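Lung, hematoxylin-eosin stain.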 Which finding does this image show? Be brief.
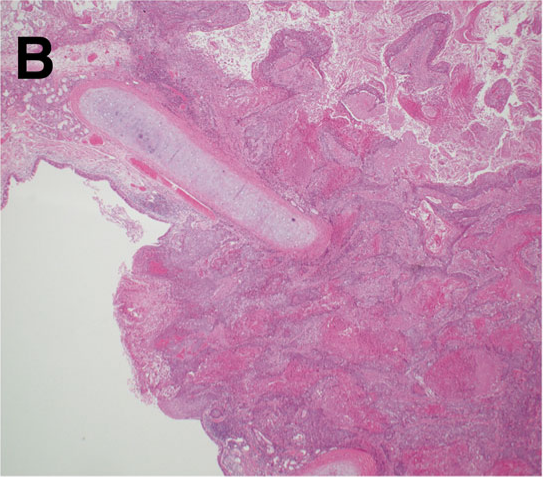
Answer: squamous cell carcinoma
